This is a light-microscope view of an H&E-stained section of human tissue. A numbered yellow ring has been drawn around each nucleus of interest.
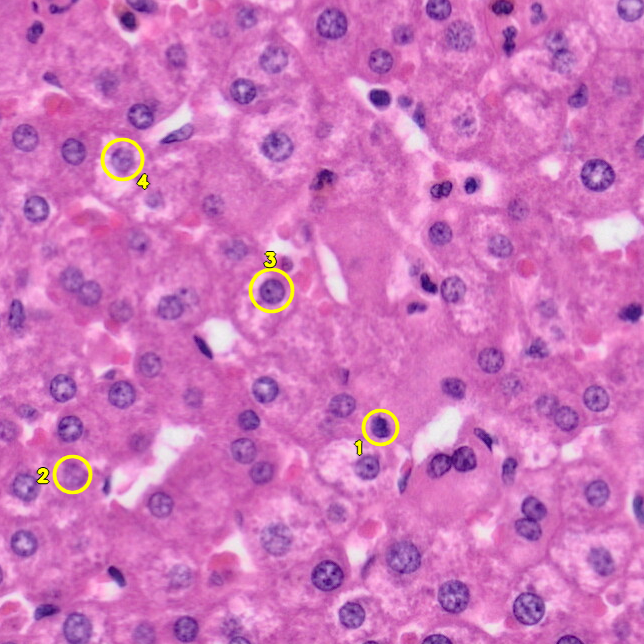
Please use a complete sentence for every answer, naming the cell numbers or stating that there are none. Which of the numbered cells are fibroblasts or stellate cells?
Of the cells marked with numbers, cell 1 is the only one that is a fibroblast or stellate cell.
